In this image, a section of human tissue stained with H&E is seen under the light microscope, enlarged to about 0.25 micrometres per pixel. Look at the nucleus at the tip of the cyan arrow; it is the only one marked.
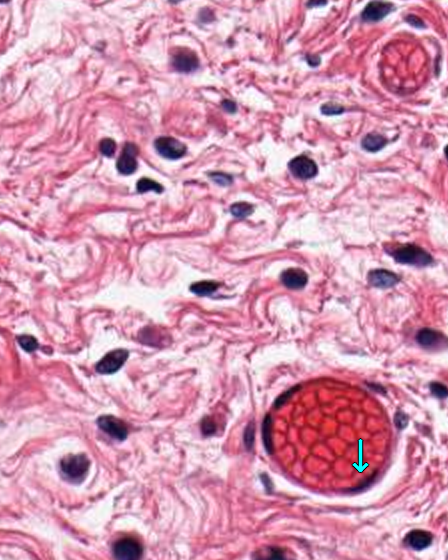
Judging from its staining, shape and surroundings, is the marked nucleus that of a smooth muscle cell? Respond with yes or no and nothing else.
no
